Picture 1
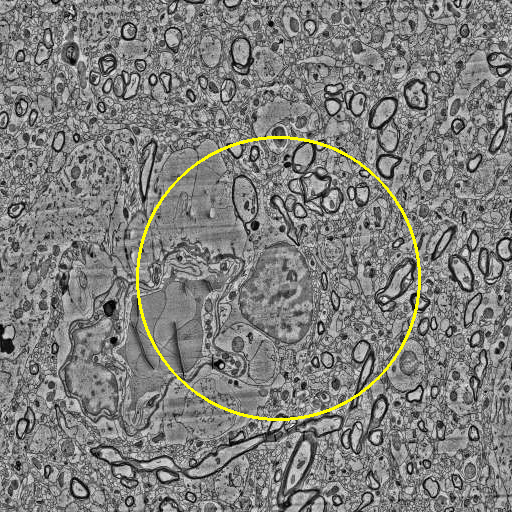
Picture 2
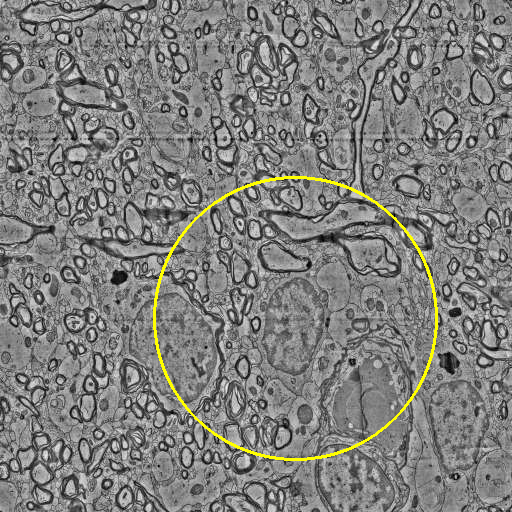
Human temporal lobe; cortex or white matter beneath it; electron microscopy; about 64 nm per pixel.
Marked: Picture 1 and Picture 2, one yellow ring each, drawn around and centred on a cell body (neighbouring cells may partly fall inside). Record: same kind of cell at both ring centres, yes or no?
yes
